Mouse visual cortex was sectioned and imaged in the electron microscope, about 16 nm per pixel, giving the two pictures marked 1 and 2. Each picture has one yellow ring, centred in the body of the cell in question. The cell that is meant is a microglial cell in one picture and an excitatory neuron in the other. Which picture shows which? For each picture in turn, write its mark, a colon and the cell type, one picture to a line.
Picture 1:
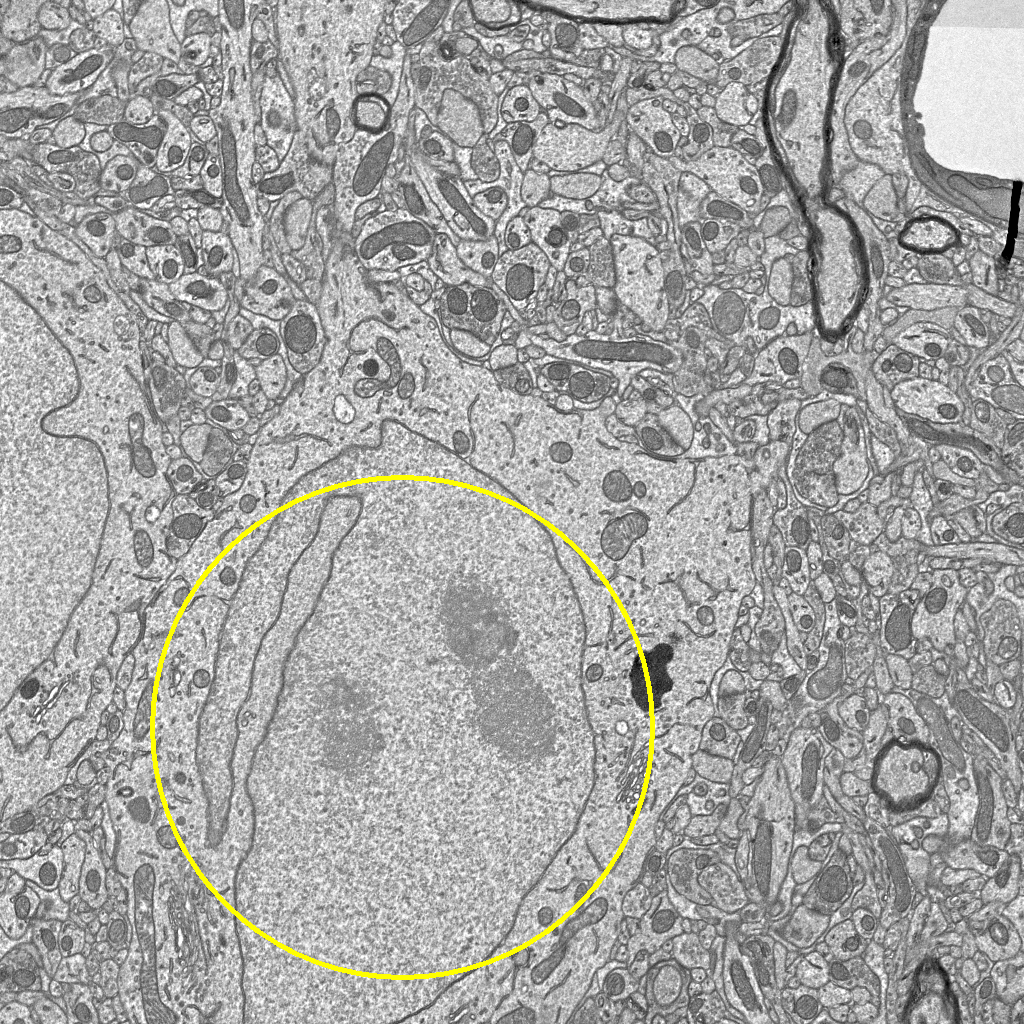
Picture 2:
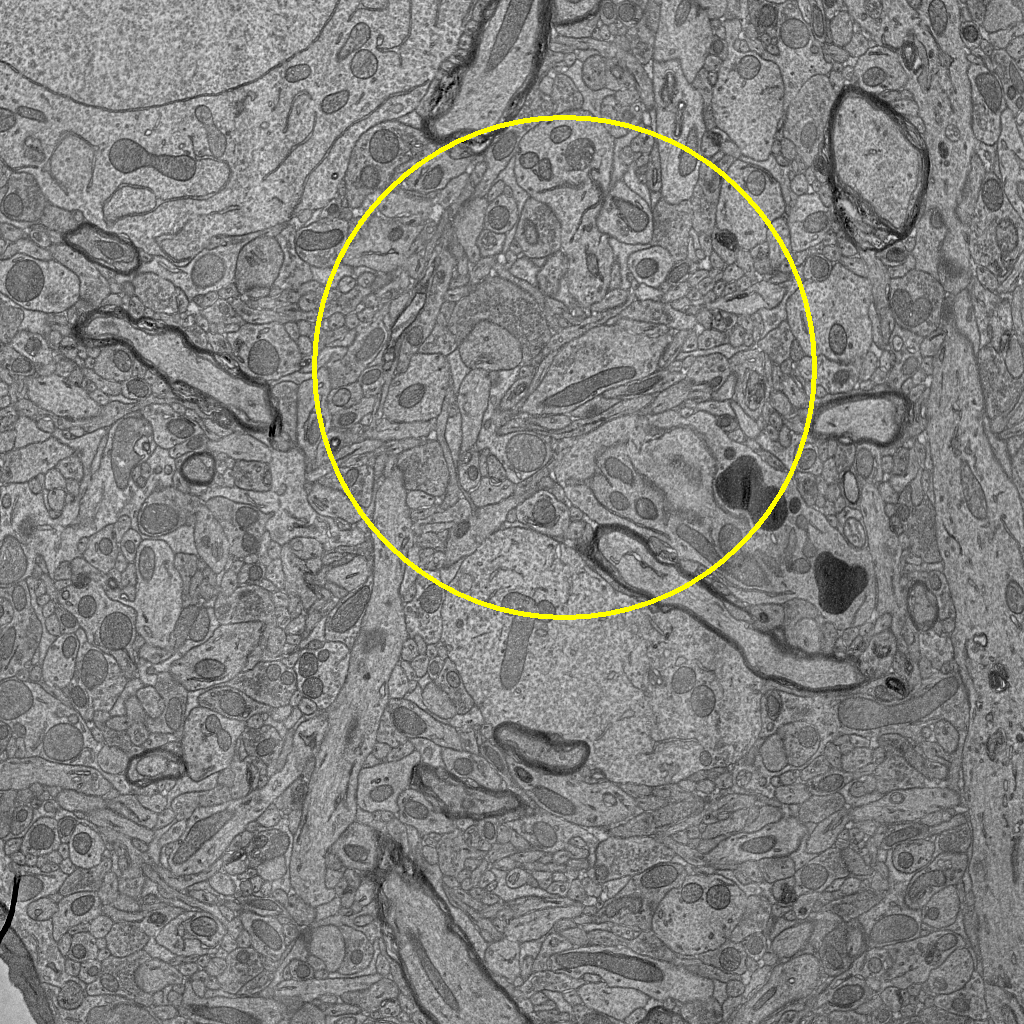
1: excitatory neuron
2: microglial cell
